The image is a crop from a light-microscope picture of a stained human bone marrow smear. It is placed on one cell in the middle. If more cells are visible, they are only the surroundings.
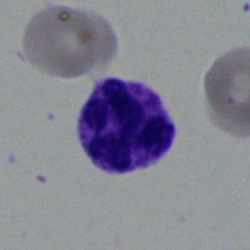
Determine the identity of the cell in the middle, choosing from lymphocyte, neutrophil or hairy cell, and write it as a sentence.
Centred in the crop is a neutrophil.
